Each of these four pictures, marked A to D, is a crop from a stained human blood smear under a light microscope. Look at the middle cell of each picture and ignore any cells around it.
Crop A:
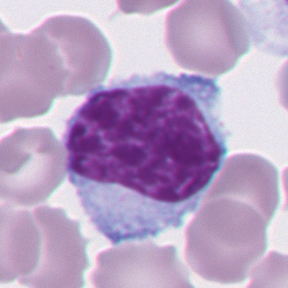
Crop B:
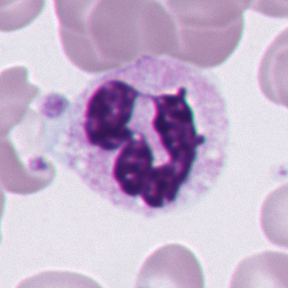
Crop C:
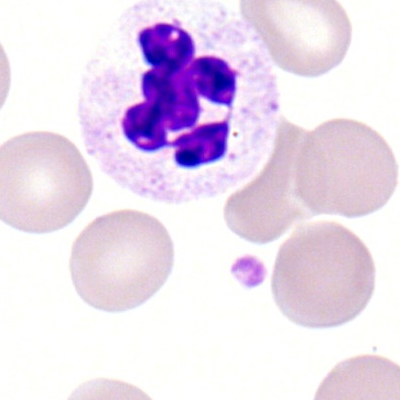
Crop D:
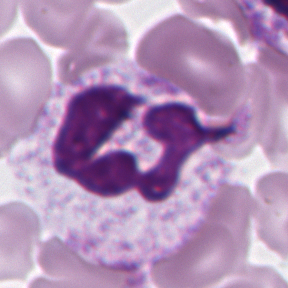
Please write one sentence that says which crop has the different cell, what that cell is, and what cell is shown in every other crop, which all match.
Crop A is the exception here: it is a monocyte, and the others are segmented neutrophils.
